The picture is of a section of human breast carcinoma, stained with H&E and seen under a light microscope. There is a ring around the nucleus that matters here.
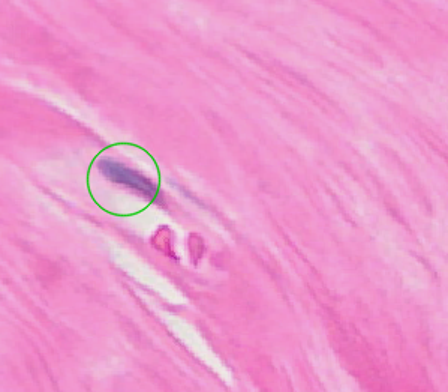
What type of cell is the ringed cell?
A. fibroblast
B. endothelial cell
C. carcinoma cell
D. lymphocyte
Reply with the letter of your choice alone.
B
